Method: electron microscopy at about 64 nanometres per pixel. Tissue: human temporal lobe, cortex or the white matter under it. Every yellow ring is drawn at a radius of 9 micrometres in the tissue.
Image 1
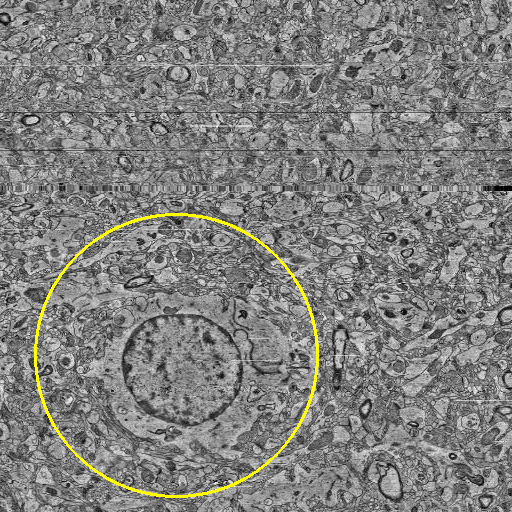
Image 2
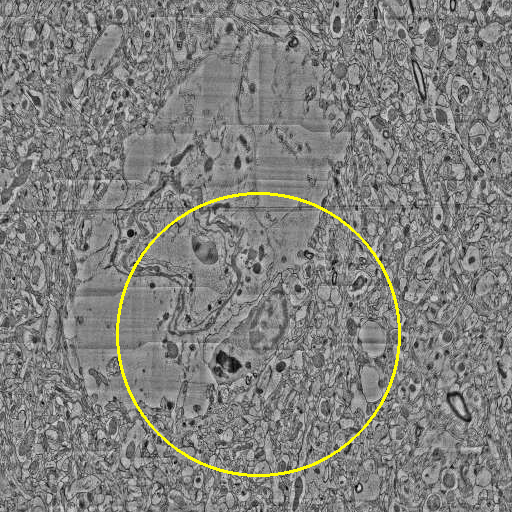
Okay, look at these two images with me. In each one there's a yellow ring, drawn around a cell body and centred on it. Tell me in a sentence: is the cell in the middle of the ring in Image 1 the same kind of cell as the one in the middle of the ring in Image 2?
No, they're two kinds of cell.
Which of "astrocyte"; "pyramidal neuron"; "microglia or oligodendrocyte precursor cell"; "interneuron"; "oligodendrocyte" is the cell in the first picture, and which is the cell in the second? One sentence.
The two differ: the first cell is an astrocyte and the second is an oligodendrocyte.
